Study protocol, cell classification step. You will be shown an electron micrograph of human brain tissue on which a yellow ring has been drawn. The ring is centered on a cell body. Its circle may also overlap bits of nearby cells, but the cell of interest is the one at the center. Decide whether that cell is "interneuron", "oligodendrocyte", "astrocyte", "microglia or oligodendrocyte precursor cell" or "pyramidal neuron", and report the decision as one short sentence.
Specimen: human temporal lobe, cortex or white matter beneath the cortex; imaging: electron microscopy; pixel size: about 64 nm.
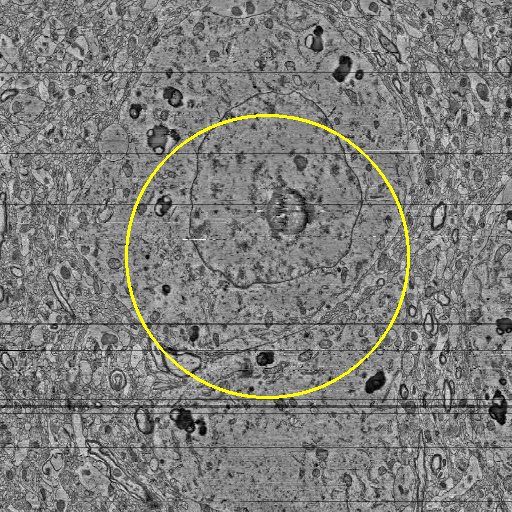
The marked cell is a pyramidal neuron.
